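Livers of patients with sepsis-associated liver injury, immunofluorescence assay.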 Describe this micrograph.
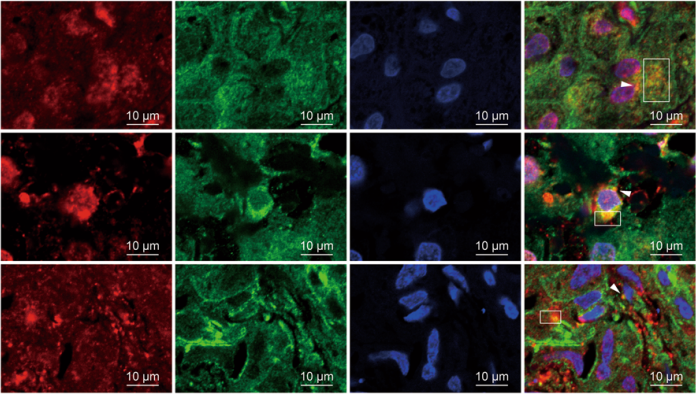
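The green stain runs through the cytoplasm and along the borders between cells, while the red stain gathers in patchy clusters. In the merged pictures, yellow appears where red and green overlap, in places beside the blue nuclei.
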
